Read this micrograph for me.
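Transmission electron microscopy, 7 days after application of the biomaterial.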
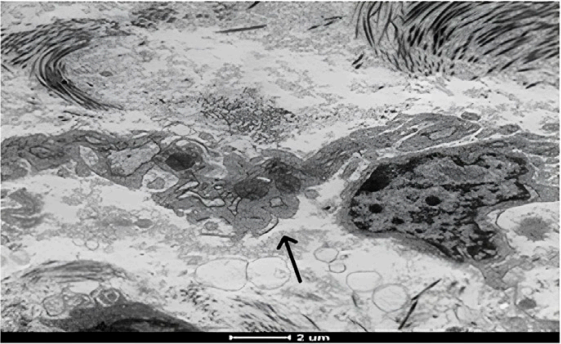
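The black arrow marks an elongated inflammatory cell stretched across the connective tissue. Its nucleus, on the right, has an irregular, indented outline with dark patches of heterochromatin against the envelope and within the nucleoplasm. To the left the cell body continues as a long band of convoluted cytoplasmic folds and processes, many enclosing pale vacuoles. Around it the matrix is pale and holds scattered round vesicle-like profiles, and at the upper corners collagen fibrils run in wavy bundles cut lengthwise.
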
